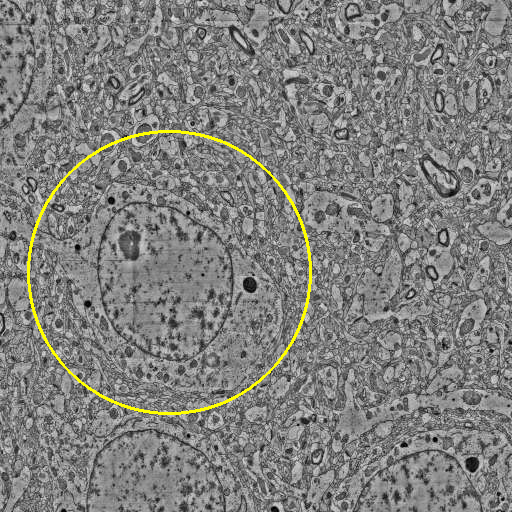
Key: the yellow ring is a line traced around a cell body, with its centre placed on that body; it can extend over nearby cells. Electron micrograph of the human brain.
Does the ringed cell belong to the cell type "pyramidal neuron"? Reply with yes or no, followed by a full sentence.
Yes, the cell at the centre of the yellow ring in the picture is of that type.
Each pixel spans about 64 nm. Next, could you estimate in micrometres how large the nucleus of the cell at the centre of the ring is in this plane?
In this plane, the nucleus of the cell at the centre of the ring measures about 11 by 9 micrometres.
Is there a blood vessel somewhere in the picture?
No, there is no blood vessel.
